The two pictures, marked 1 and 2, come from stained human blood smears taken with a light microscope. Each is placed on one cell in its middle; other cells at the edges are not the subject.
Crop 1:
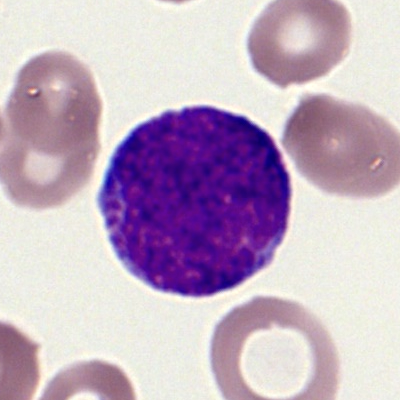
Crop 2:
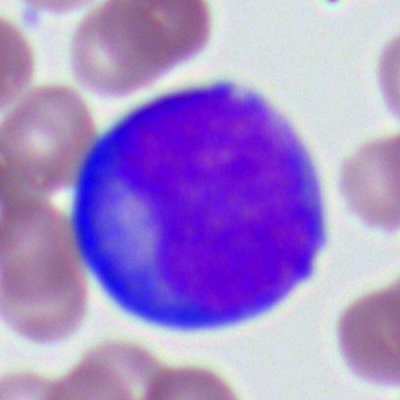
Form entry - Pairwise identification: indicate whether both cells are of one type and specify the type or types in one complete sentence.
Yes, the two crops show myeloblasts, both of them.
